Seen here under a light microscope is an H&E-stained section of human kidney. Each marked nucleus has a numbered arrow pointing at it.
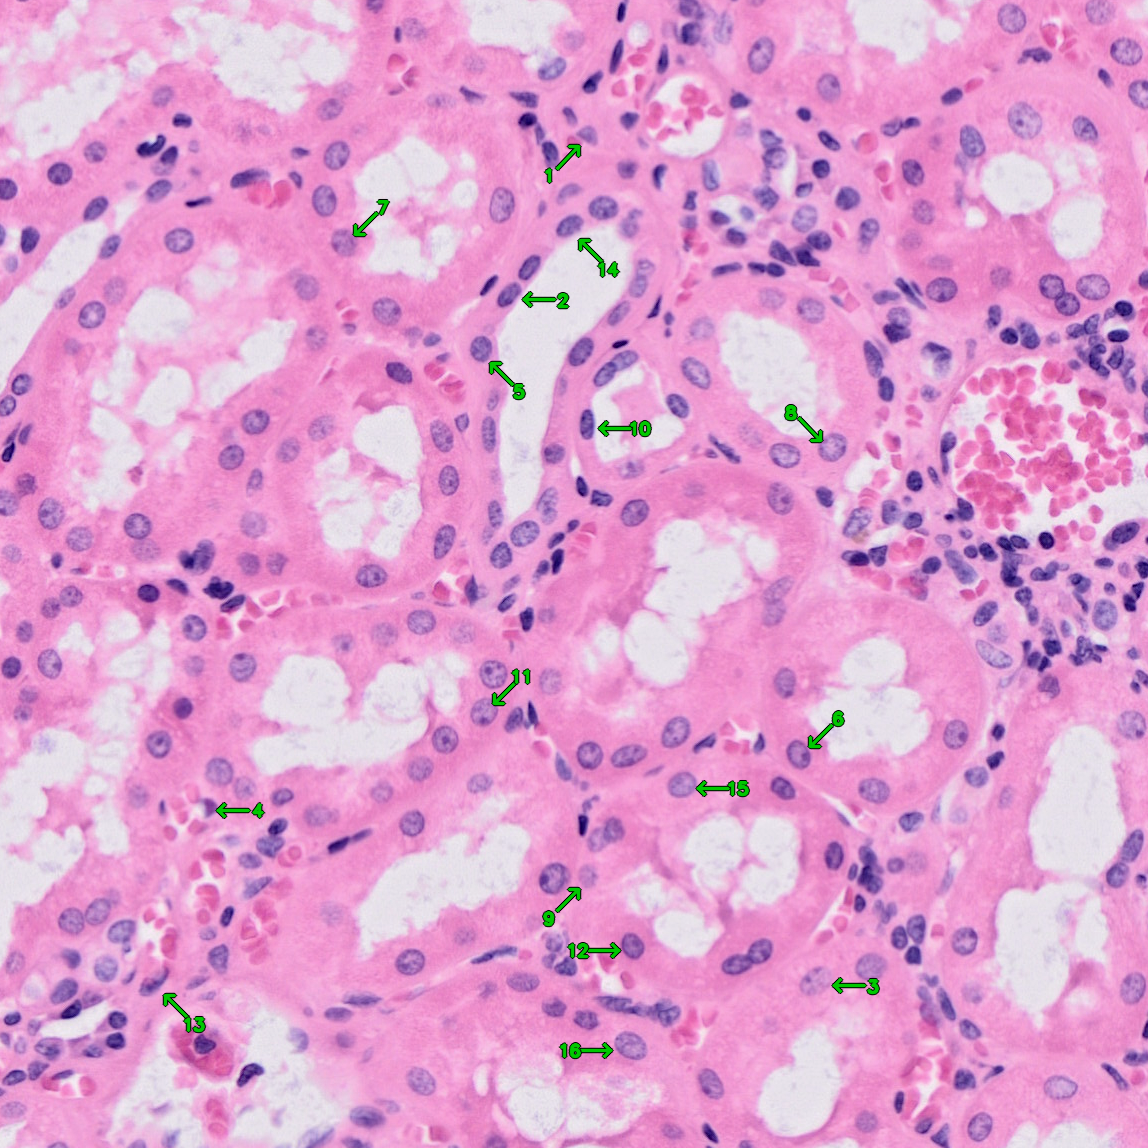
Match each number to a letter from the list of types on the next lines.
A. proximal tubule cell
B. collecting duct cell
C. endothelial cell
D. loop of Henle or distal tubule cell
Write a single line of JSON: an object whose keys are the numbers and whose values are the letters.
{"1": "C", "2": "B", "3": "A", "4": "C", "5": "B", "6": "A", "7": "A", "8": "A", "9": "A", "10": "D", "11": "A", "12": "A", "13": "C", "14": "B", "15": "A", "16": "A"}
